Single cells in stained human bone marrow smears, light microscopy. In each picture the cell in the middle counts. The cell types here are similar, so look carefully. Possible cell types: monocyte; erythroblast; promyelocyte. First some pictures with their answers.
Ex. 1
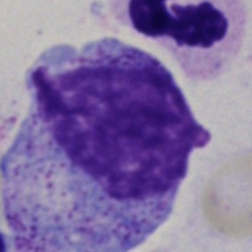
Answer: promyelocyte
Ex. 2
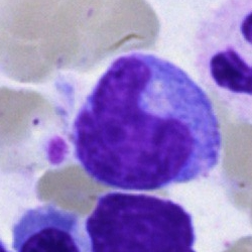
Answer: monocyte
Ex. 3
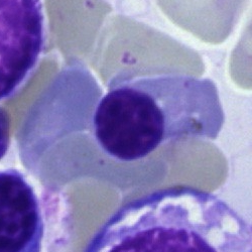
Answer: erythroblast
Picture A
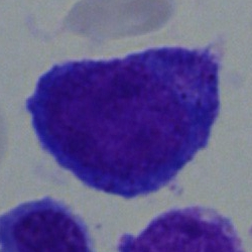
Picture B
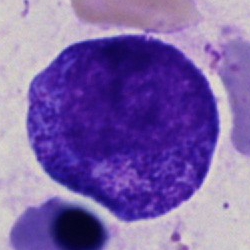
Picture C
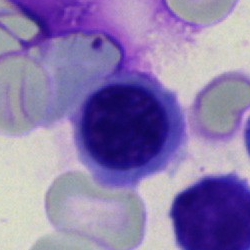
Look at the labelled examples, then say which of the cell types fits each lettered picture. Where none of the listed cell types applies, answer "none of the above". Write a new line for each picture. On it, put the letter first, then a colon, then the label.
A: promyelocyte
B: promyelocyte
C: erythroblast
